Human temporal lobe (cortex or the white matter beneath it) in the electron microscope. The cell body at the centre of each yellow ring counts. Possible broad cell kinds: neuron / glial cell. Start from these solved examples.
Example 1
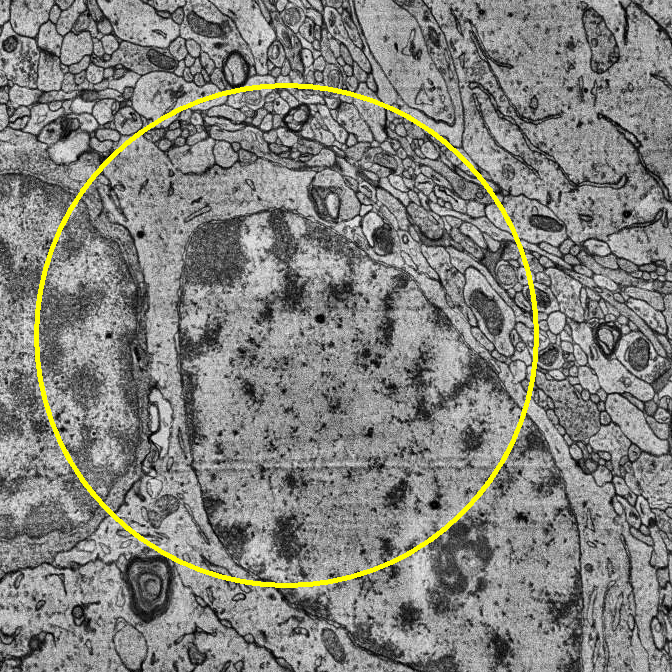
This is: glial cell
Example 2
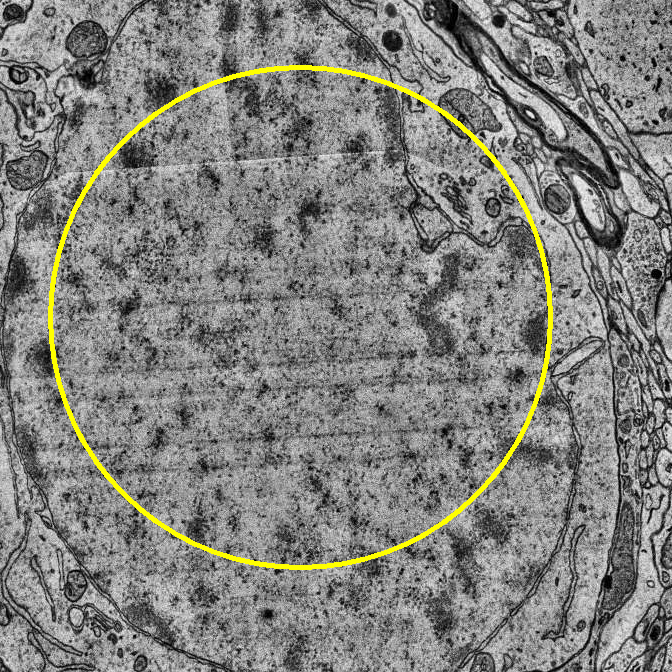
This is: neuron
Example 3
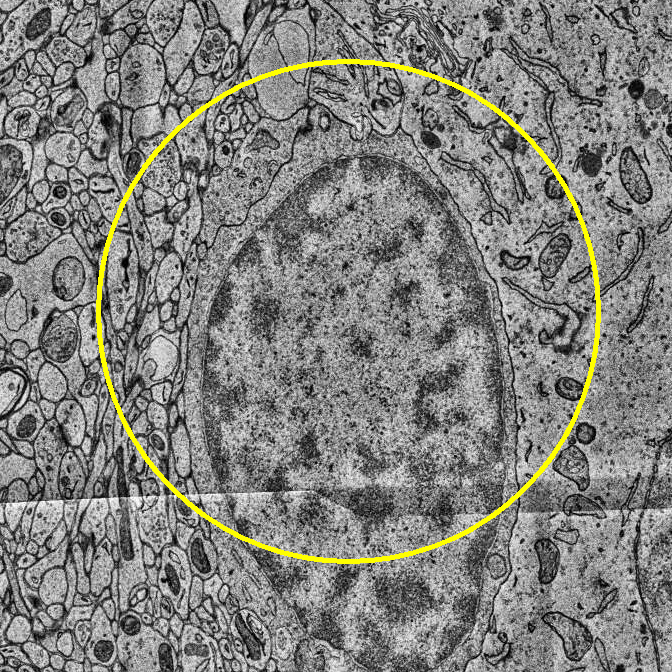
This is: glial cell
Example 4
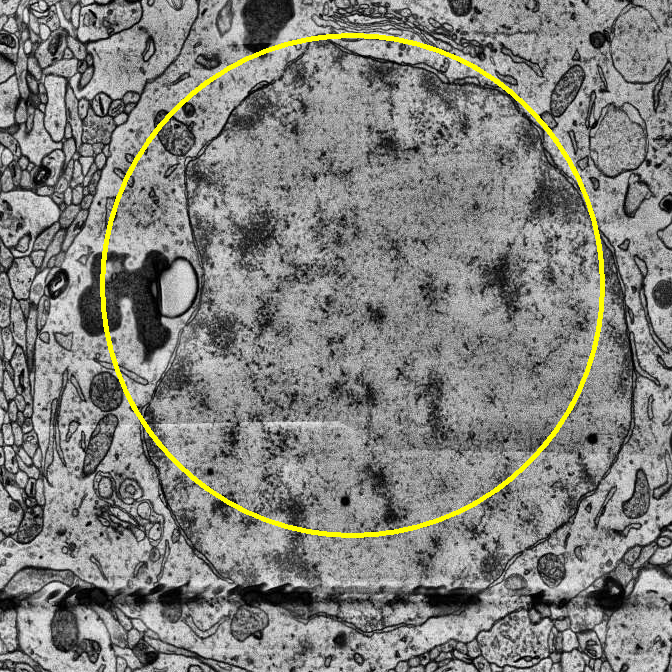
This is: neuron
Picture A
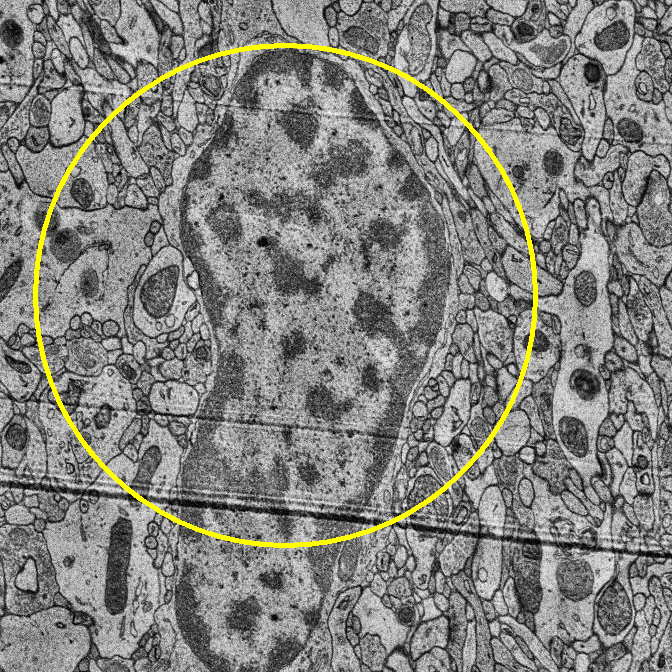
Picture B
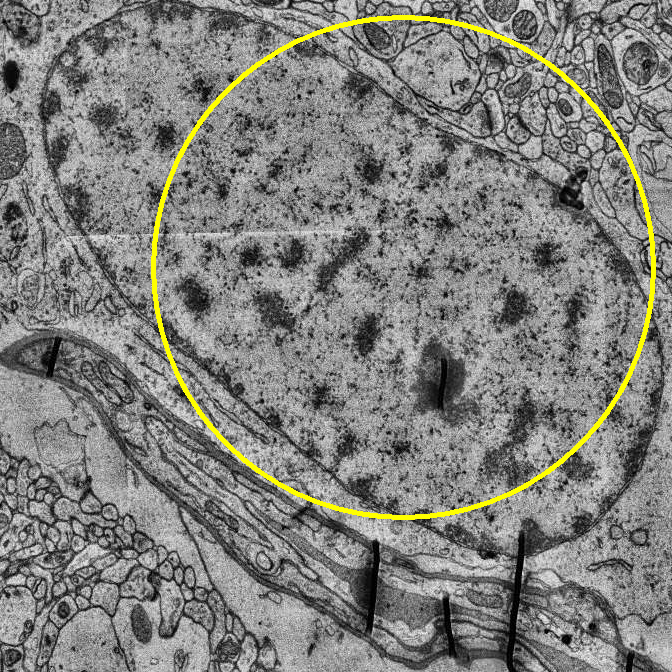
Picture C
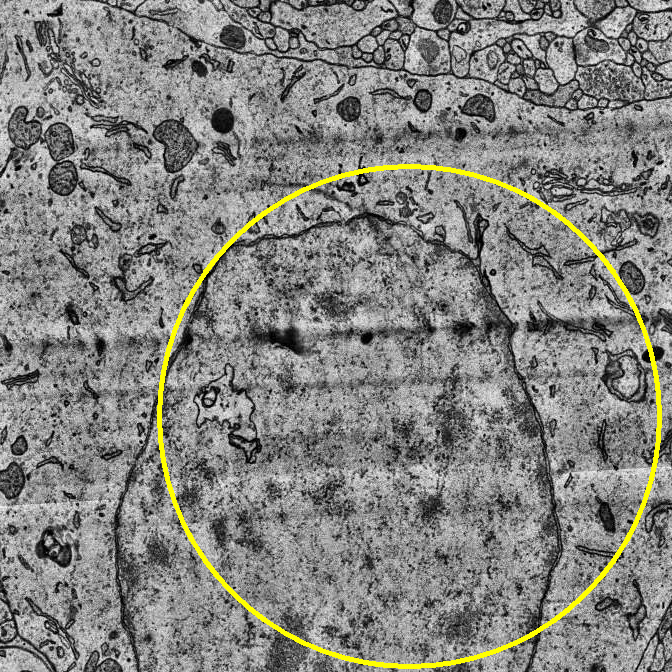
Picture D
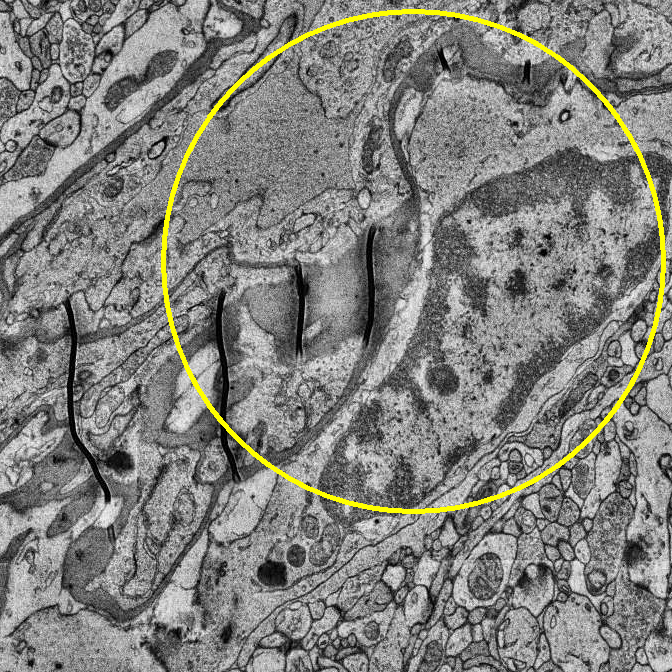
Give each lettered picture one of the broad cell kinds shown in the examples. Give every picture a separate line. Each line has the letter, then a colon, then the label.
A: glial cell
B: glial cell
C: neuron
D: glial cell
